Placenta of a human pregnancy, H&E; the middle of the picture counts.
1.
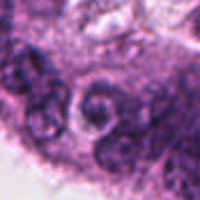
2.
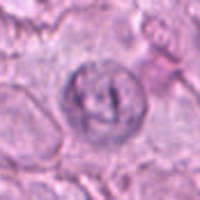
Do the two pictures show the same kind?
No: a cytotrophoblast, then a maternal decidual cell.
